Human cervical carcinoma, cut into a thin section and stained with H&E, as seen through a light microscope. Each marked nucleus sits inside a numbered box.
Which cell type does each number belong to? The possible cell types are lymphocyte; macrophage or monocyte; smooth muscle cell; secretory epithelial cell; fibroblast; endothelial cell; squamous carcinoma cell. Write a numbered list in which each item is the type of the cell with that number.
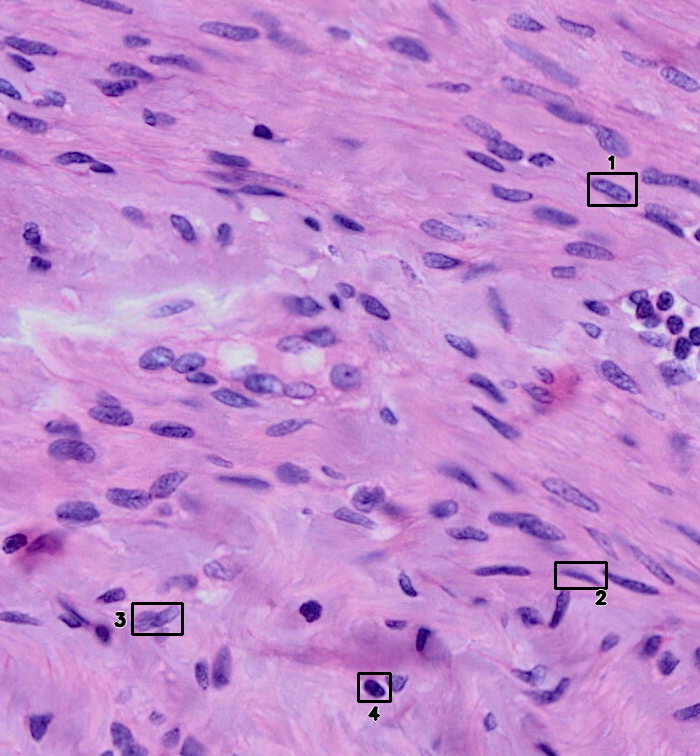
1. fibroblast
2. fibroblast
3. fibroblast
4. lymphocyte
